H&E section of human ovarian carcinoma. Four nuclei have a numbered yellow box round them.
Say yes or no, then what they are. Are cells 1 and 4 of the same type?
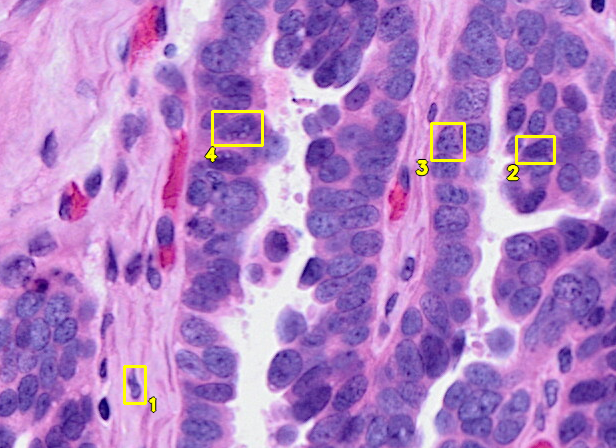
No, cell 1 is a fibroblast and cell 4 is a carcinoma cell.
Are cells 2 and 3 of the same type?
Yes, both are carcinoma cells.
